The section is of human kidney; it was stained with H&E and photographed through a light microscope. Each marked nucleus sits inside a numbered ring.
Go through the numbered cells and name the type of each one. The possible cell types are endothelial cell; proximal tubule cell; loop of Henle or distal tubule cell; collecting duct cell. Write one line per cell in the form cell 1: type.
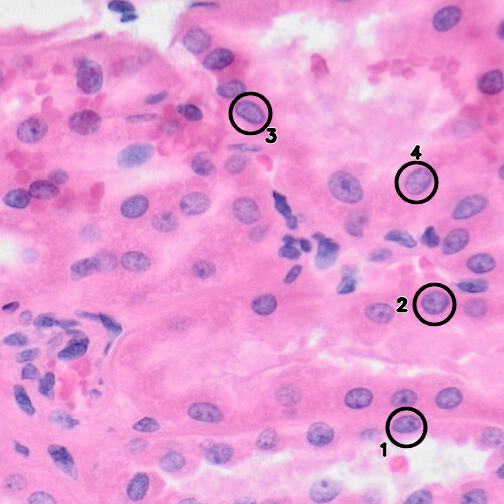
cell 1: loop of Henle or distal tubule cell
cell 2: proximal tubule cell
cell 3: proximal tubule cell
cell 4: proximal tubule cell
